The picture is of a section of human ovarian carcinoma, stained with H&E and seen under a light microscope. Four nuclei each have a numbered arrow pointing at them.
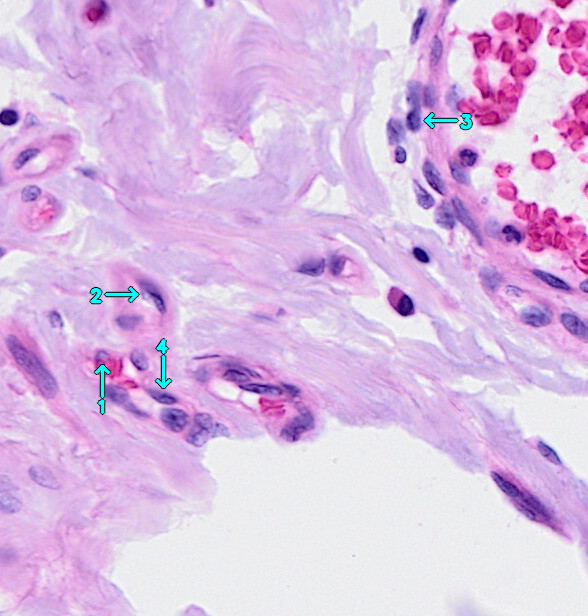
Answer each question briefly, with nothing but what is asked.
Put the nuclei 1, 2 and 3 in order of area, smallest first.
1, 3, 2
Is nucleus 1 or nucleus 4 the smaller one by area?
1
